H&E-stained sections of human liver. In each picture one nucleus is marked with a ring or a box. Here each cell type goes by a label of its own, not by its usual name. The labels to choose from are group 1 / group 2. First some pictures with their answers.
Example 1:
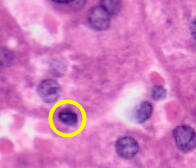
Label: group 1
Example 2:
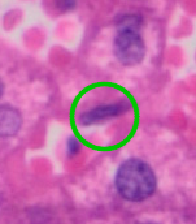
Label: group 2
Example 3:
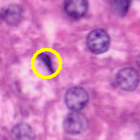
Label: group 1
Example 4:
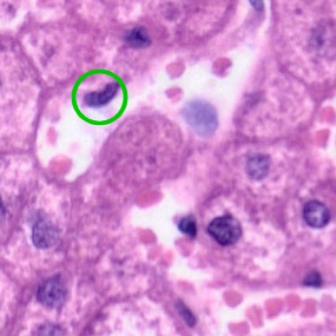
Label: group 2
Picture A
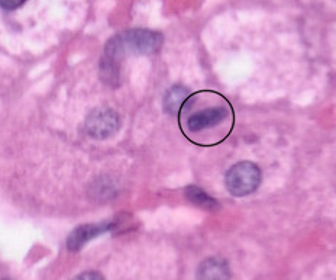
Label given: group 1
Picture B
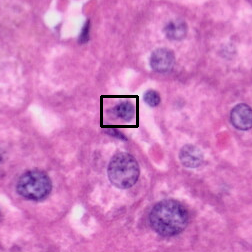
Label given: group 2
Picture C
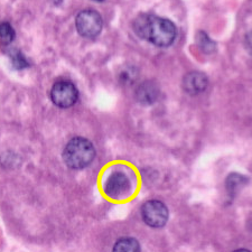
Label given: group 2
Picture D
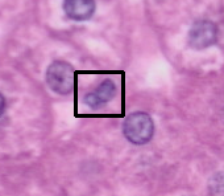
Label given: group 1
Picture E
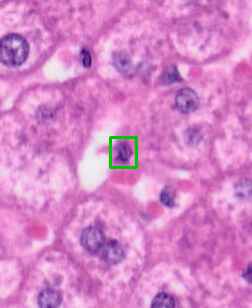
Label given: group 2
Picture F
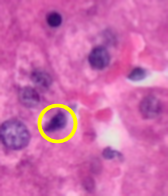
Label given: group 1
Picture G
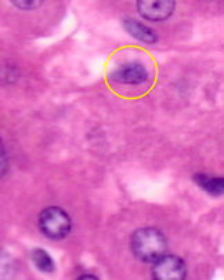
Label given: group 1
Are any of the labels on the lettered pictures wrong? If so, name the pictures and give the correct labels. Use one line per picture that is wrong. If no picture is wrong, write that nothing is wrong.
No label is wrong.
